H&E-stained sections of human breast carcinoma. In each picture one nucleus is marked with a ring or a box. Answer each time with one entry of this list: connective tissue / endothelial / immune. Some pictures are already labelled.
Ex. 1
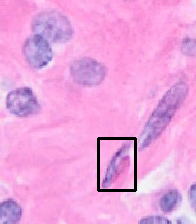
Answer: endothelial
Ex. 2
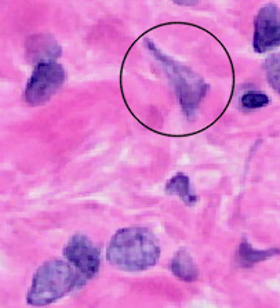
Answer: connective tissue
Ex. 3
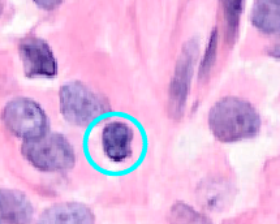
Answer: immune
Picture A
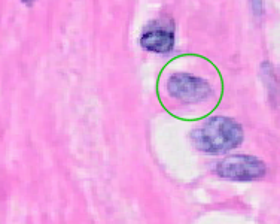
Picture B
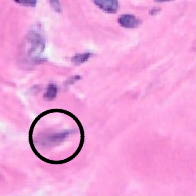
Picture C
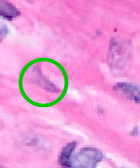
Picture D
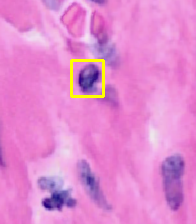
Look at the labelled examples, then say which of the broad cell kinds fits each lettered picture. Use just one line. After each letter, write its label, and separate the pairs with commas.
A endothelial, B connective tissue, C connective tissue, D immune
